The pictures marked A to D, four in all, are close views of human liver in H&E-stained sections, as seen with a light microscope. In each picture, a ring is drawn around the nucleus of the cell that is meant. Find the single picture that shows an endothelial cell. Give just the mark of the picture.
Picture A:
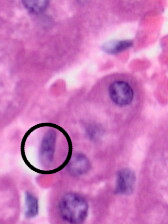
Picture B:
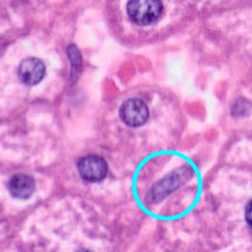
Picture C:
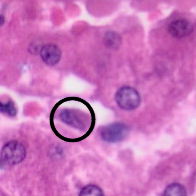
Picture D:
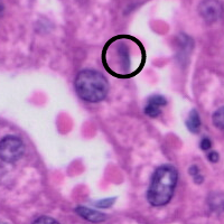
D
